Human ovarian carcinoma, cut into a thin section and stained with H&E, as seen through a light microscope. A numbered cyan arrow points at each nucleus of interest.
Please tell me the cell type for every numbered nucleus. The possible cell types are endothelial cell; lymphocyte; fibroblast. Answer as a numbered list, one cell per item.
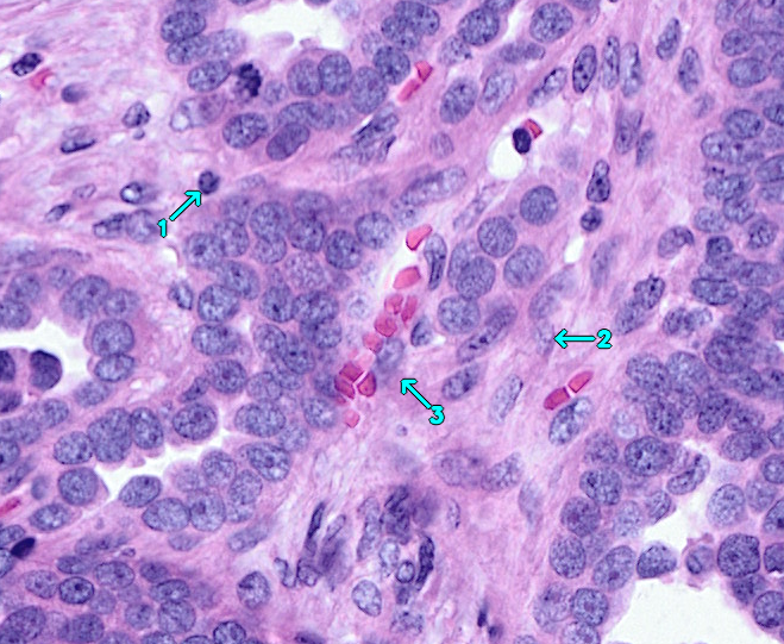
1. lymphocyte
2. fibroblast
3. endothelial cell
